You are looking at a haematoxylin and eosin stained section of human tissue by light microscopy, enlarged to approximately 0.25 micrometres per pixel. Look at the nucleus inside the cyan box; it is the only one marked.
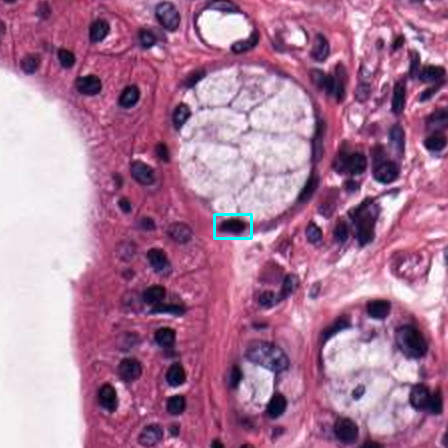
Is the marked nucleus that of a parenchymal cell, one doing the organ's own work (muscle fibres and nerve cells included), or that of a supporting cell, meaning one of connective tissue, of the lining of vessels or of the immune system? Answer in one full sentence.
The marked nucleus is housed in a parenchymal cell, namely a mucous gland cell.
